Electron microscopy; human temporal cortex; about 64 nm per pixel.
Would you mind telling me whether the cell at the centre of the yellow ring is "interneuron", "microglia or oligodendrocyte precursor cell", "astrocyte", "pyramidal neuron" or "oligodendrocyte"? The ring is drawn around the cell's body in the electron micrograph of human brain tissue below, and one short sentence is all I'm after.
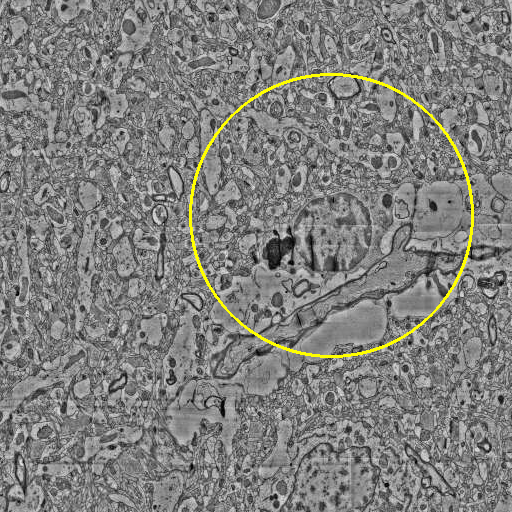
In the centre of the ring lies an oligodendrocyte.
